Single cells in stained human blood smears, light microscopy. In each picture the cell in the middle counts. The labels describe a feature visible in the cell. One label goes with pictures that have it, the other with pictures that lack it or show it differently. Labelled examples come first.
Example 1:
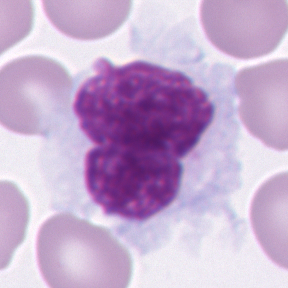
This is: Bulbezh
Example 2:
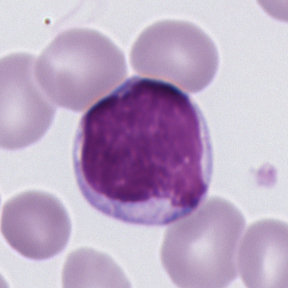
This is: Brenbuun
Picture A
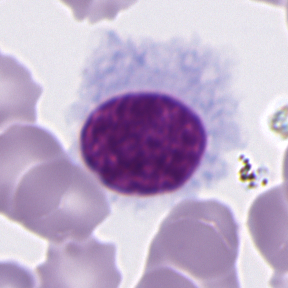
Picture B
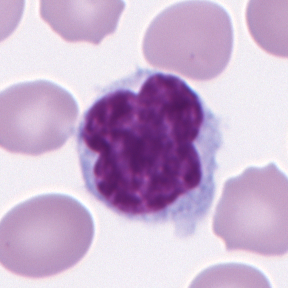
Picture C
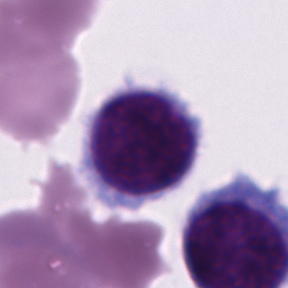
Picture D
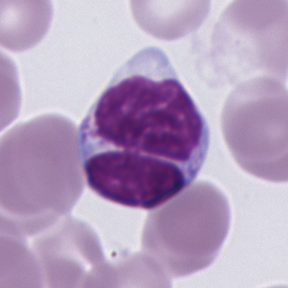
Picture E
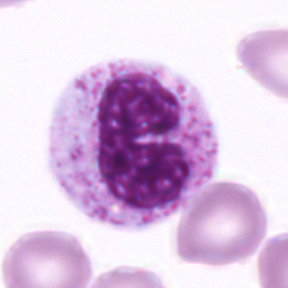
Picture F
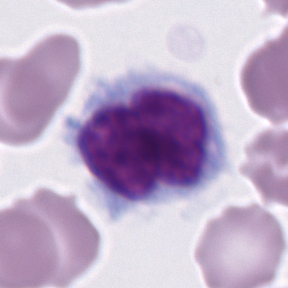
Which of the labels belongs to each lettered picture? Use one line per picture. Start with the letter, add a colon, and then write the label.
A: Brenbuun
B: Bulbezh
C: Brenbuun
D: Bulbezh
E: Bulbezh
F: Bulbezh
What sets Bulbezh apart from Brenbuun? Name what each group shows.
Bulbezh, lobed nucleus; Brenbuun, single compact nucleus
